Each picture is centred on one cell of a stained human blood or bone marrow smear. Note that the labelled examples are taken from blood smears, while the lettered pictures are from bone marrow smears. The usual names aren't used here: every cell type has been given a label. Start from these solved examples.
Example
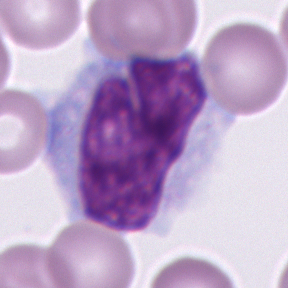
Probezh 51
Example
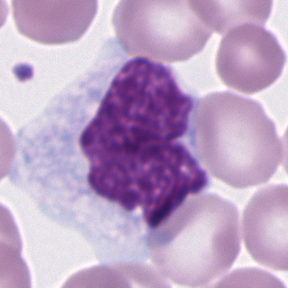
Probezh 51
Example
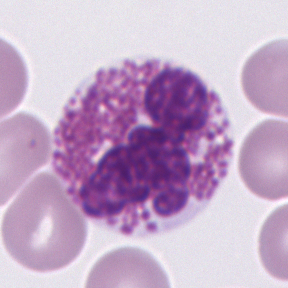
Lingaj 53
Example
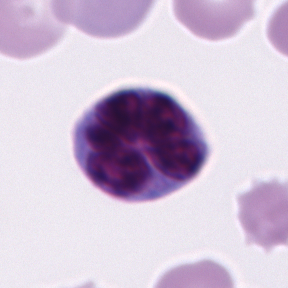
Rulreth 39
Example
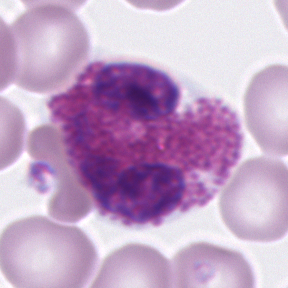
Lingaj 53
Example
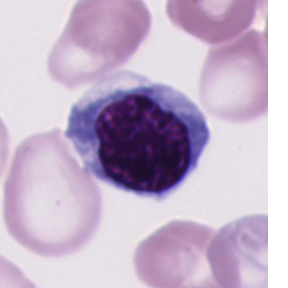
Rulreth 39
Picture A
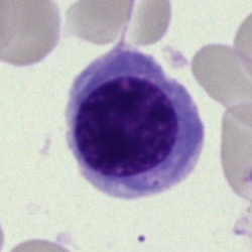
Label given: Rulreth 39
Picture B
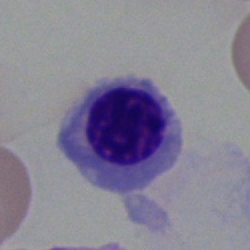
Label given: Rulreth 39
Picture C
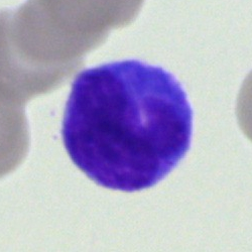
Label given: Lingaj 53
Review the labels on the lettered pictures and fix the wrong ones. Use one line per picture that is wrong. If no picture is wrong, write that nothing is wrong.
C: change Lingaj 53 to Probezh 51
